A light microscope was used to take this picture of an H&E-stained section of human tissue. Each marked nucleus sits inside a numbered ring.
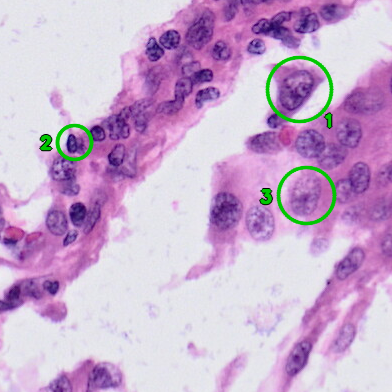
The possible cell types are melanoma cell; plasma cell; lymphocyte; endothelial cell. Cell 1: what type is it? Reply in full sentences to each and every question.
Within this field of view, the cell labelled 1 is a melanoma cell.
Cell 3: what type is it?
Identified by the number 3, the cell is a melanoma cell.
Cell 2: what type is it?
Cell 2 should be recorded as a lymphocyte.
